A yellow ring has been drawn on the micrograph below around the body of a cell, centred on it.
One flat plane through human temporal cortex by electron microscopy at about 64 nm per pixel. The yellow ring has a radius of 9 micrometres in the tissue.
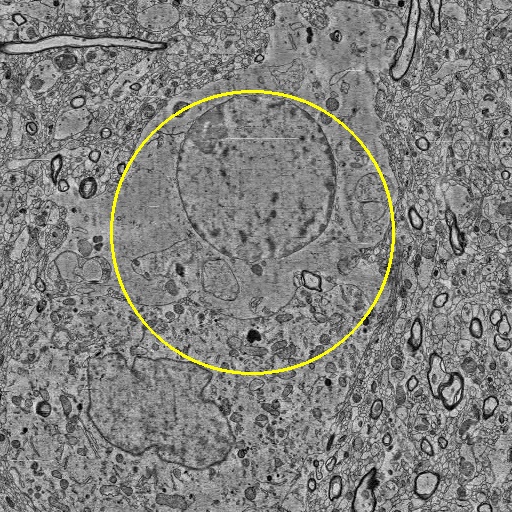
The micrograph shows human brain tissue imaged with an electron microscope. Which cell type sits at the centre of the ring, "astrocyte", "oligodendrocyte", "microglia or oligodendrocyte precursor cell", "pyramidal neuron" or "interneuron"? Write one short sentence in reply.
The cell sitting at the centre of the ring is an astrocyte.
